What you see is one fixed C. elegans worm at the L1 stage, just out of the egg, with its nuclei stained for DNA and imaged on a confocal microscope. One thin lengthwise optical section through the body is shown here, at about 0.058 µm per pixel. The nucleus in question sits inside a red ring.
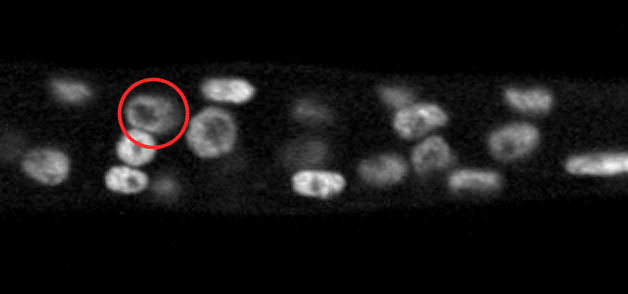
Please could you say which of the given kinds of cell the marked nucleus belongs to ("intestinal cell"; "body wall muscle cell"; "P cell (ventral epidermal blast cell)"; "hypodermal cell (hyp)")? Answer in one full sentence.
It belongs to a hypodermal cell (hyp).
